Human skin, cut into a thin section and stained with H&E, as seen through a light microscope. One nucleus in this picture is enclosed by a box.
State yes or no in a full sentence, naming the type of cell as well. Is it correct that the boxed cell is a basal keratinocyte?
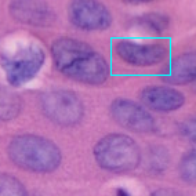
Yes, what the boxed cell represents in this tissue is a basal keratinocyte.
